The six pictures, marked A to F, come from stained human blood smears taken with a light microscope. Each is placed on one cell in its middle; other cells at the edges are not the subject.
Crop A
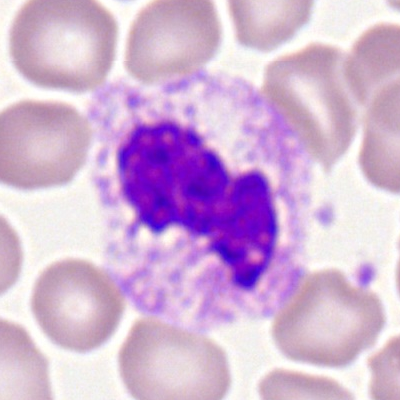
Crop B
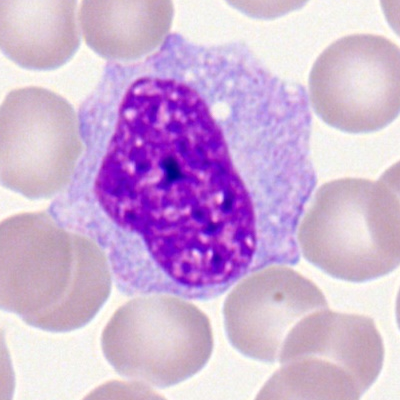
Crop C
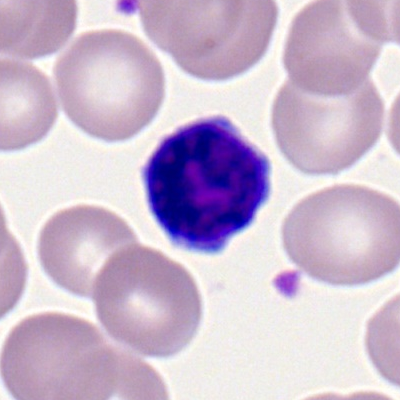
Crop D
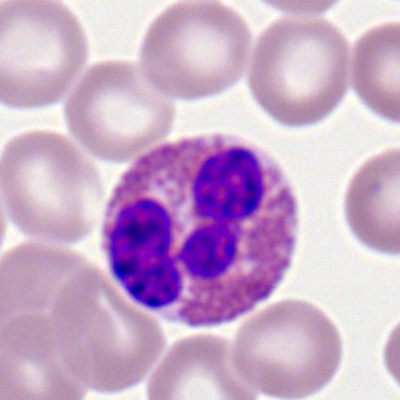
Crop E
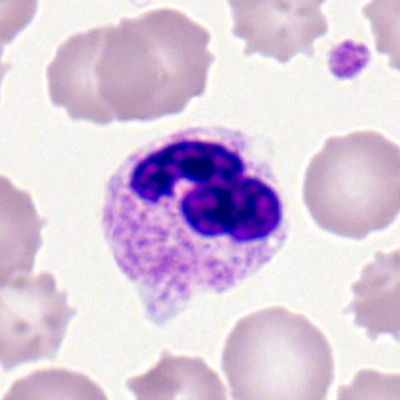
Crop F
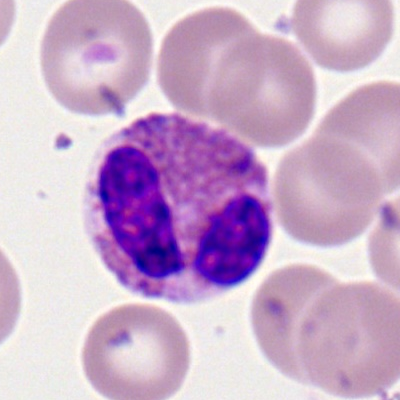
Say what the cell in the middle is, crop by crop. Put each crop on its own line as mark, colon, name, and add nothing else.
A: segmented neutrophil
B: monocyte
C: lymphocyte
D: eosinophil
E: segmented neutrophil
F: eosinophil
